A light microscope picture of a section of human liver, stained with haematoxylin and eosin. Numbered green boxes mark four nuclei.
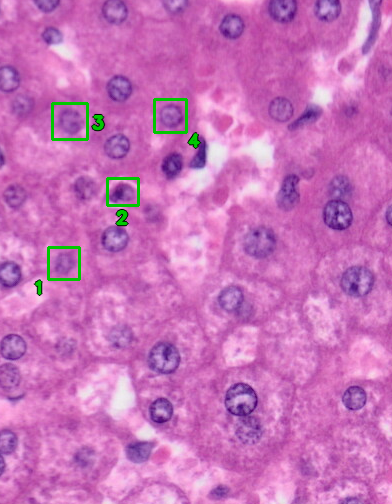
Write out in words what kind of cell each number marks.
Cell 1 is a hepatocyte, cell 2 is a Kupffer cell, cell 3 is a hepatocyte and cell 4 is a hepatocyte.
